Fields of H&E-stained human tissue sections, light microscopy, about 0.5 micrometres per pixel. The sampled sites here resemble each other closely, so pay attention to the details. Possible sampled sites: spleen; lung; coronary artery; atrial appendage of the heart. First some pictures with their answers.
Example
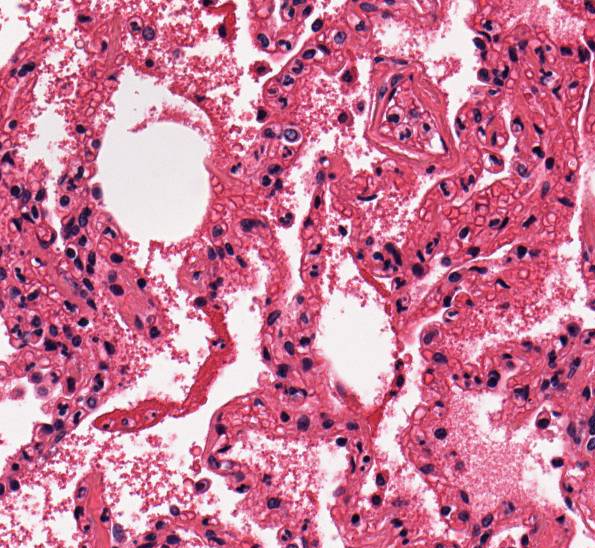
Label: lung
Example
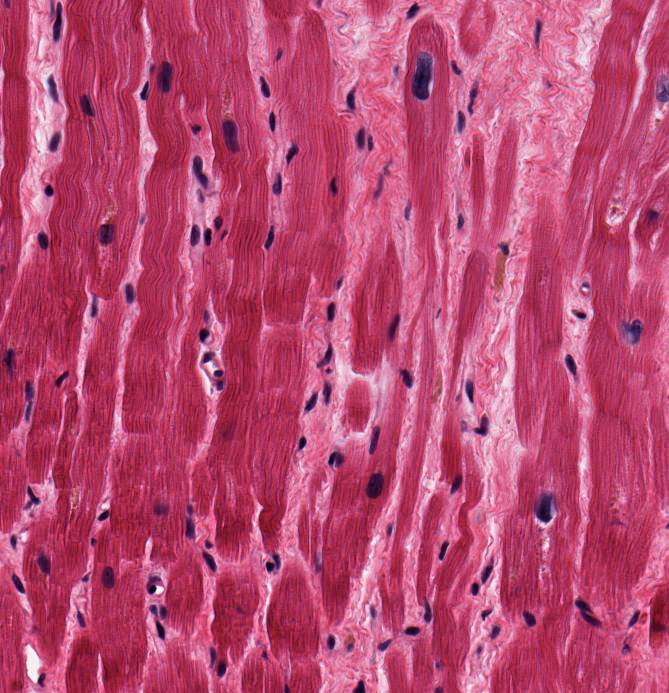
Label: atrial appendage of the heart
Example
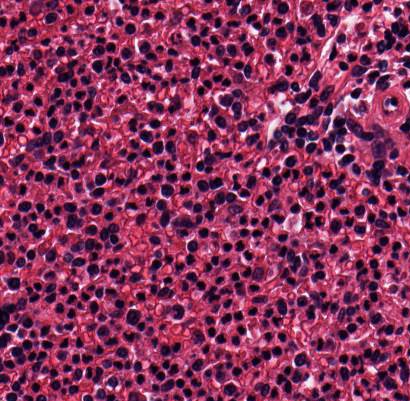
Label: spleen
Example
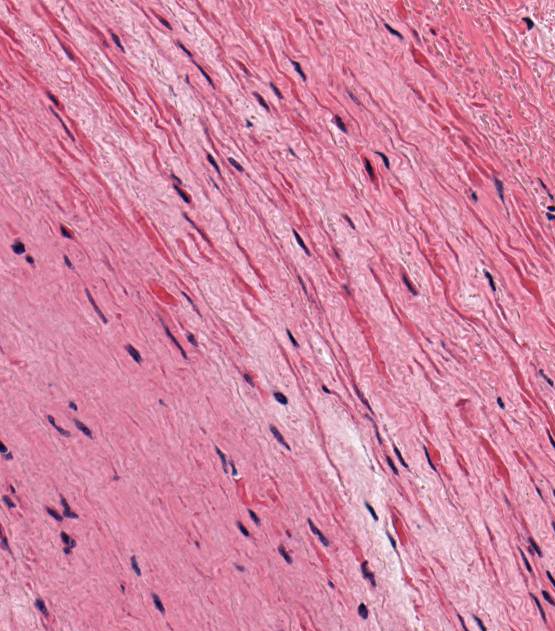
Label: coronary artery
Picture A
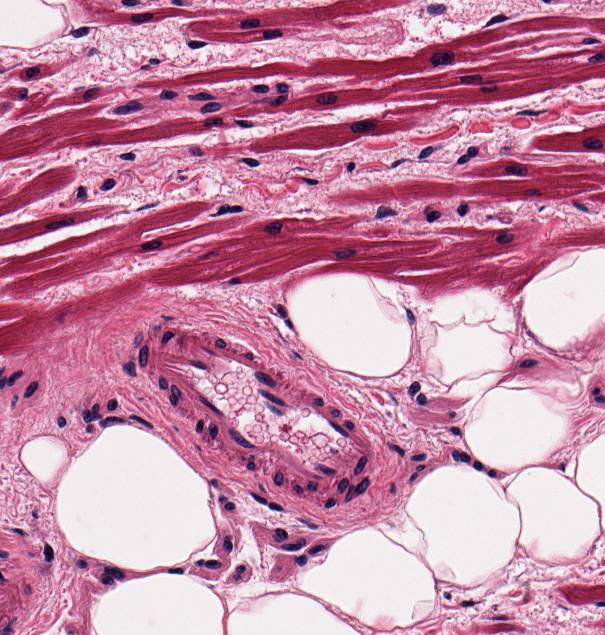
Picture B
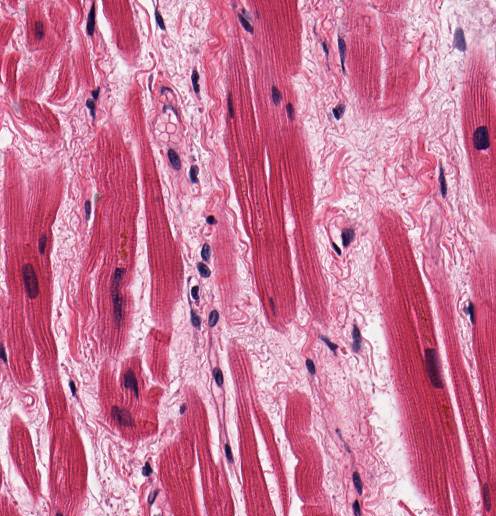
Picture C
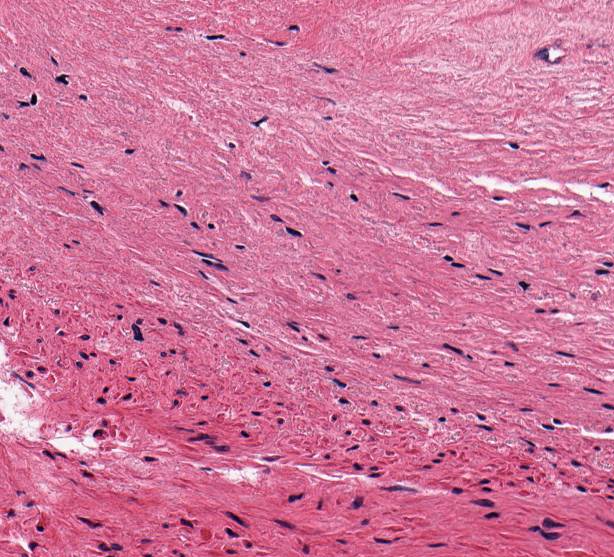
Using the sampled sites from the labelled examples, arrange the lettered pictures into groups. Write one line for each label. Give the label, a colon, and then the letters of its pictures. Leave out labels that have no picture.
coronary artery: C
atrial appendage of the heart: A, B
